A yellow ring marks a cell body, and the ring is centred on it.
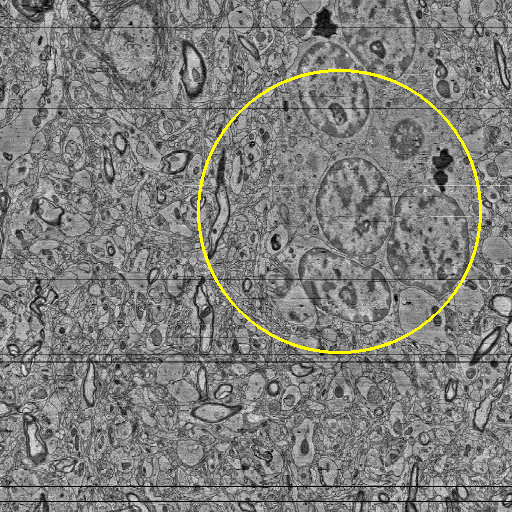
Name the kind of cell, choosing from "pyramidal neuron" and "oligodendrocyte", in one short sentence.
The marked cell body belongs to an oligodendrocyte.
